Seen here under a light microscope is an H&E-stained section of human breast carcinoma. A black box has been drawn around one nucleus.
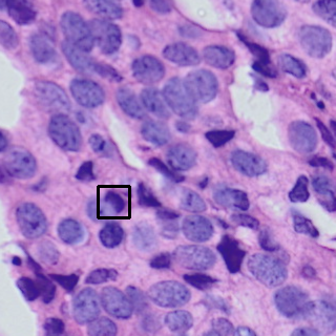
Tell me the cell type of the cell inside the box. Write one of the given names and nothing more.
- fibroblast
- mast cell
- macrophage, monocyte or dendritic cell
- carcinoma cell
carcinoma cell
